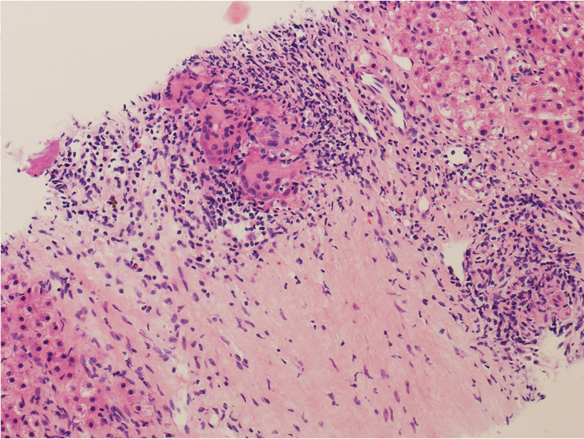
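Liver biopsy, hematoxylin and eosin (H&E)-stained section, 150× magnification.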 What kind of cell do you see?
Multinucleated giant cell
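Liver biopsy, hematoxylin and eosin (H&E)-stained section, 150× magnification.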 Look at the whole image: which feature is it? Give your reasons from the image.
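Compact clusters of pale pink cells with oval nuclei lie in the upper middle of the section. The clusters are ringed by dense small dark-nucleated inflammatory cells. Pink polygonal hepatocytes lie at the upper right and lower left edges.
Answer: epithelioid granulomas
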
